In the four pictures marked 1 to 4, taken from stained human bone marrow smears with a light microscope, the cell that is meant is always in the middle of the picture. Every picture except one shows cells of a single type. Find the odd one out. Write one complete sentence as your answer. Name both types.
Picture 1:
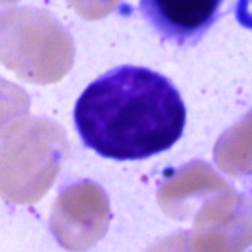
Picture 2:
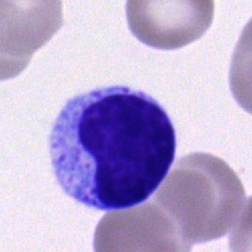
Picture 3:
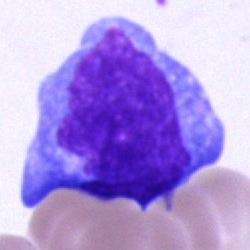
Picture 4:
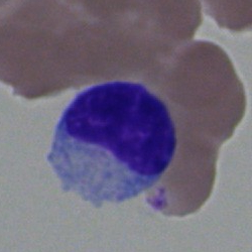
All pictures except 3 show lymphocytes; picture 3 shows a blast.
